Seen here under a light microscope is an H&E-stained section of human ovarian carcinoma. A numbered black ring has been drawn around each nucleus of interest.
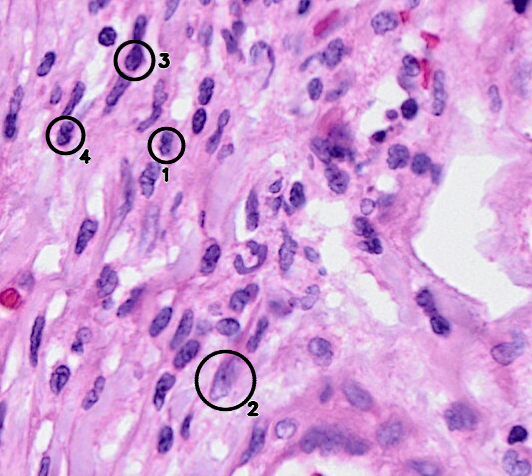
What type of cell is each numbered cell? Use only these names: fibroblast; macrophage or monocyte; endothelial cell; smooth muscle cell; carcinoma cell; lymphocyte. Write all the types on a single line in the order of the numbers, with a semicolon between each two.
lymphocyte; fibroblast; lymphocyte; lymphocyte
